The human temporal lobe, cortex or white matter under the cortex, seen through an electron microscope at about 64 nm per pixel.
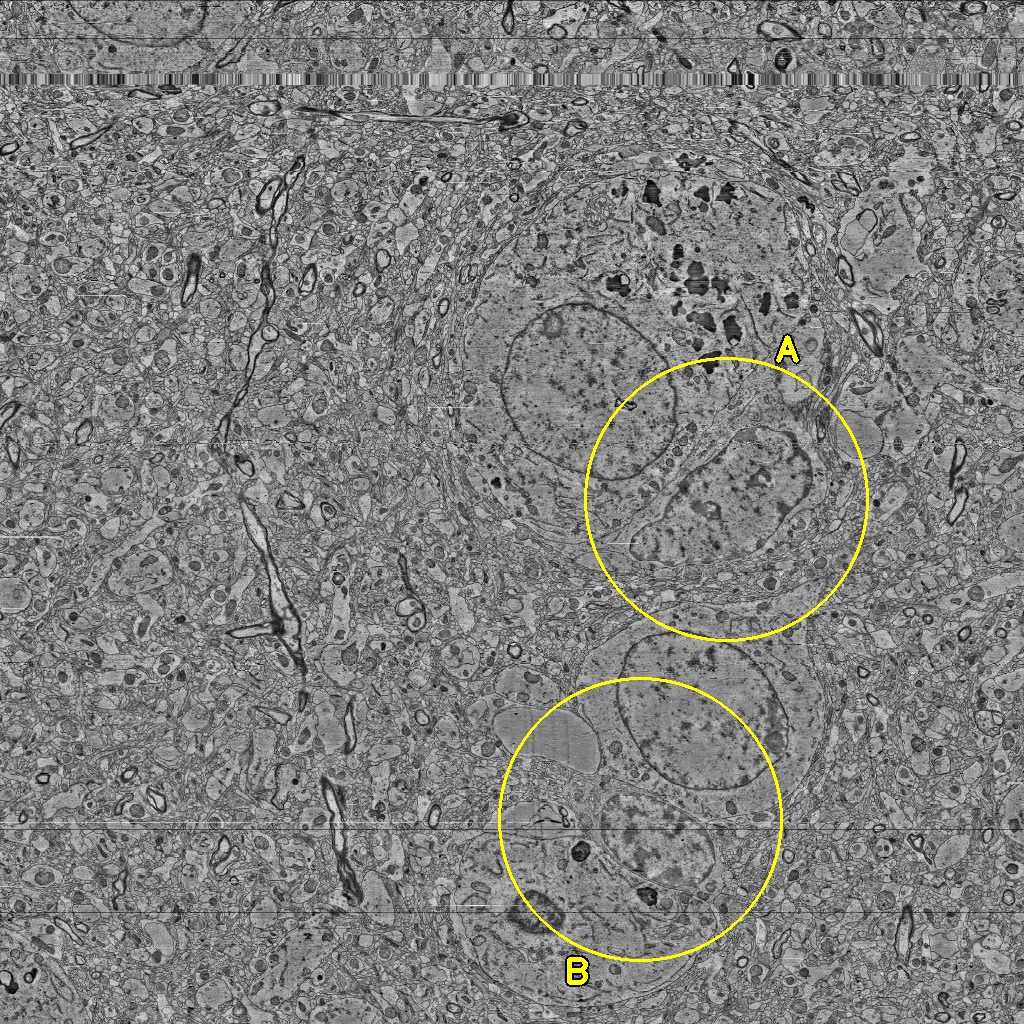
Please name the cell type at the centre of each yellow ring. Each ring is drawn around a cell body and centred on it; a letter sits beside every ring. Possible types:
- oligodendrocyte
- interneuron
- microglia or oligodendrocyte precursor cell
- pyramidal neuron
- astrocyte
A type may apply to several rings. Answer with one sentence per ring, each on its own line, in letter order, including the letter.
Ring A is centred on the cell body of a microglial cell or oligodendrocyte precursor cell.
Ring B is centred on the cell body of an oligodendrocyte.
